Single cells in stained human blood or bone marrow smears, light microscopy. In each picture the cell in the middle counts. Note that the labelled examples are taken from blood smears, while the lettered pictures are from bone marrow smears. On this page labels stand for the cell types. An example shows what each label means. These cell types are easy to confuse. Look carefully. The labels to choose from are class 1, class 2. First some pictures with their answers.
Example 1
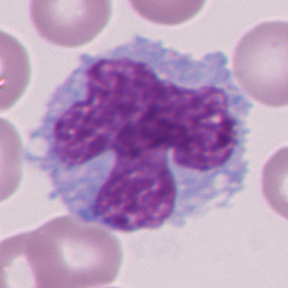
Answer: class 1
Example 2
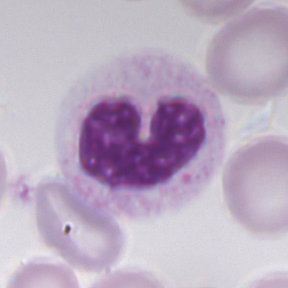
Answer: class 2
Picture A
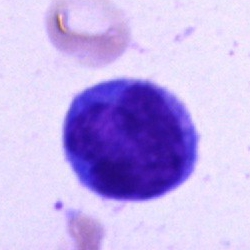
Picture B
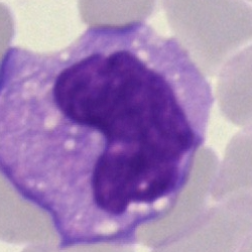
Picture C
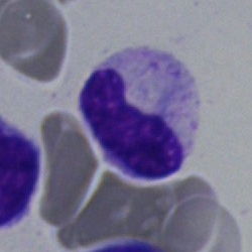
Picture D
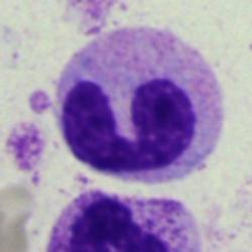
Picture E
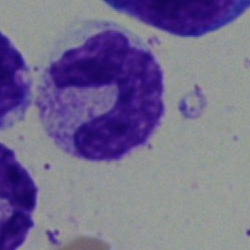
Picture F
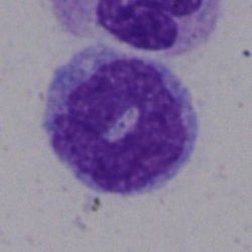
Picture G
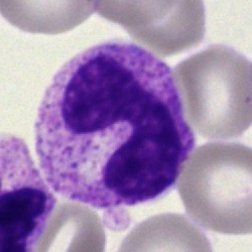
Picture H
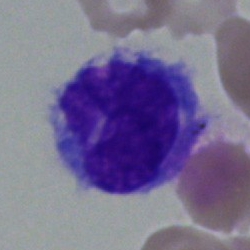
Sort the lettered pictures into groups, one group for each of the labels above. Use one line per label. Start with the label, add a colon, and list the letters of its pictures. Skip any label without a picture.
class 1: A, B, F, H
class 2: C, D, E, G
